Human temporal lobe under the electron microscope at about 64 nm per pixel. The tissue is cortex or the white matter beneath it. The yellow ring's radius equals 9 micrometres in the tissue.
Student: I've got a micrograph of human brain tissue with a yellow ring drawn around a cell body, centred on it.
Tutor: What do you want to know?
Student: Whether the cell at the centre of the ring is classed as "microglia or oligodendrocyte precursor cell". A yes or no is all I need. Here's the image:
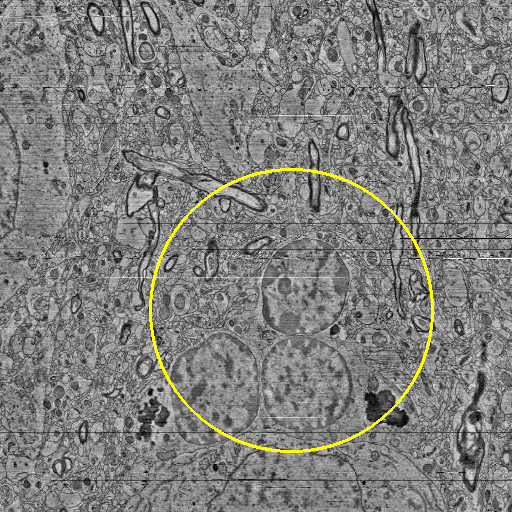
yes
